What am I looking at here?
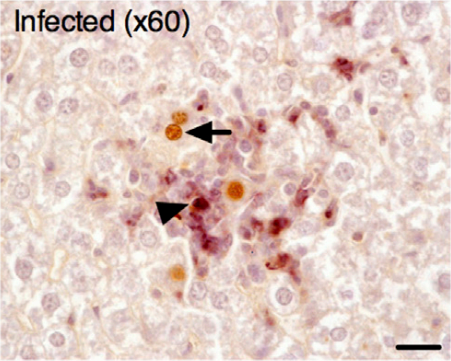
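The purple cells are small and scattered irregularly around a central point. A few small round nuclei stained solid brown lie among and beside them. The surrounding large polygonal cells have pale cytoplasm and round blue nuclei with visible nucleoli.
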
